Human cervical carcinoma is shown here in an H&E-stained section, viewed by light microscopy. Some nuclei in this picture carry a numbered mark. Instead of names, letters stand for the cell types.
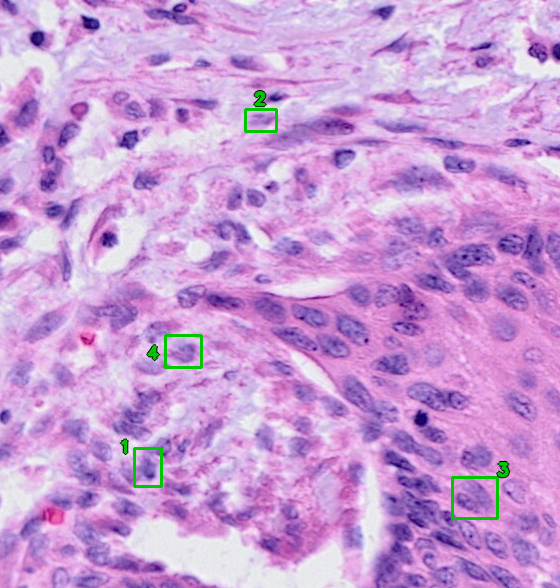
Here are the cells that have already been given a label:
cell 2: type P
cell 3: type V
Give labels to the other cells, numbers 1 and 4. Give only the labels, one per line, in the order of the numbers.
type P
type P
